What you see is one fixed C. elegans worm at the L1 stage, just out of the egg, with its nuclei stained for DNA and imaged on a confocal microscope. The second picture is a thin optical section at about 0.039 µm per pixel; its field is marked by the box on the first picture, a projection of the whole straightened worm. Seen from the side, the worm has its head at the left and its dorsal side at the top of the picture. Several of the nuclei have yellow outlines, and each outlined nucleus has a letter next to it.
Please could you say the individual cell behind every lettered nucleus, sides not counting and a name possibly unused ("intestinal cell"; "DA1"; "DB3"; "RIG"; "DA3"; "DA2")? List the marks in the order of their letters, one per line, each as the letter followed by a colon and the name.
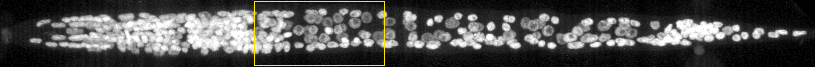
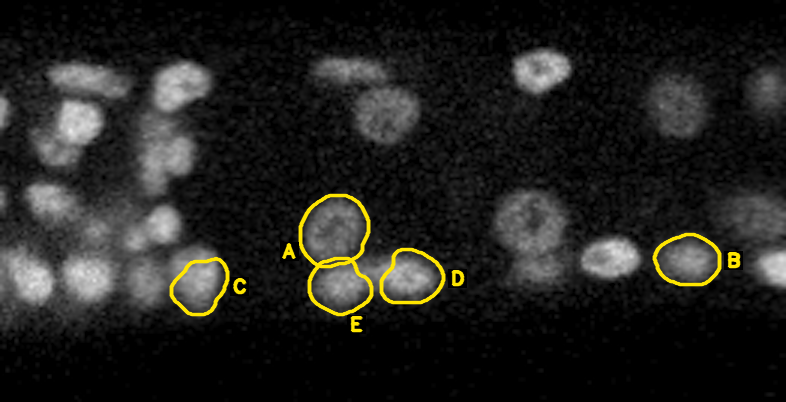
A: intestinal cell
B: DA3
C: DA1
D: DA2
E: DB3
